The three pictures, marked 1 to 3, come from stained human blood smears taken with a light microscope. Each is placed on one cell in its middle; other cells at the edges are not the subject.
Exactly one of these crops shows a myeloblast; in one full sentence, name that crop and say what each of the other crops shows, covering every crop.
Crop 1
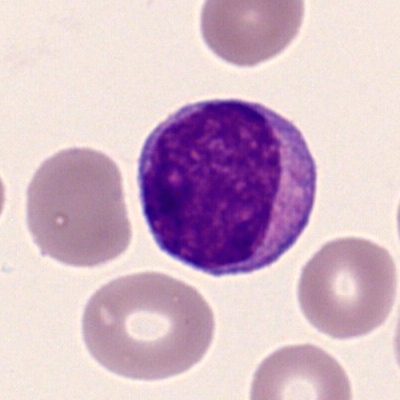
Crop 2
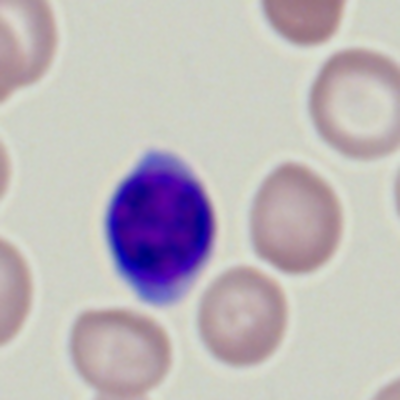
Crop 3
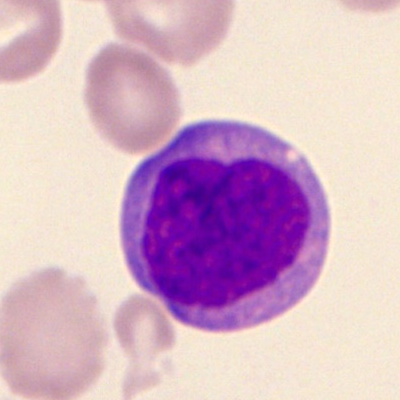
Crop 1 presents a myeloblast, while crop 2 is a lymphocyte and crop 3 is a monocyte.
